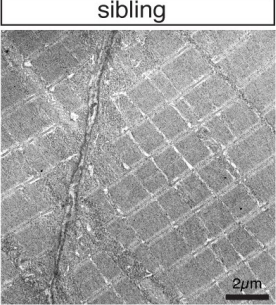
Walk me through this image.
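This electron micrograph shows skeletal muscle with the typical cross-striation of myofibrils. Dark Z-lines recur at regular intervals and run in register across neighbouring myofibrils, outlining well-aligned sarcomeres. A thin diagonal line crosses the field where adjacent fibres meet.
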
